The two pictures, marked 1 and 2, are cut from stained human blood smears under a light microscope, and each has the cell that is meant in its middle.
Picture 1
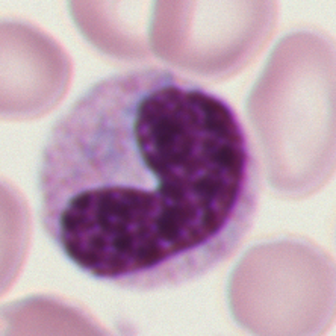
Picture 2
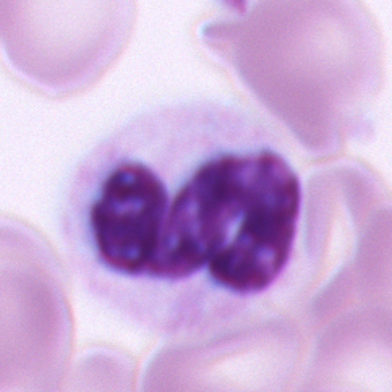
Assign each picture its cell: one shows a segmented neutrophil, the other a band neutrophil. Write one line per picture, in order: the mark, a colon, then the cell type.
1: band neutrophil
2: segmented neutrophil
